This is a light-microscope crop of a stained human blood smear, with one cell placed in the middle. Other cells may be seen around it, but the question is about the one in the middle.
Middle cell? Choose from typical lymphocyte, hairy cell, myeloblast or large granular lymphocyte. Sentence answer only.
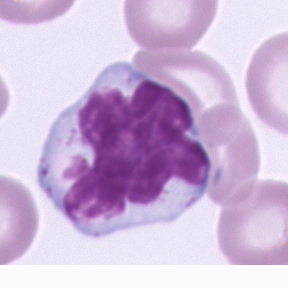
By type, the central cell of the crop is a large granular lymphocyte.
